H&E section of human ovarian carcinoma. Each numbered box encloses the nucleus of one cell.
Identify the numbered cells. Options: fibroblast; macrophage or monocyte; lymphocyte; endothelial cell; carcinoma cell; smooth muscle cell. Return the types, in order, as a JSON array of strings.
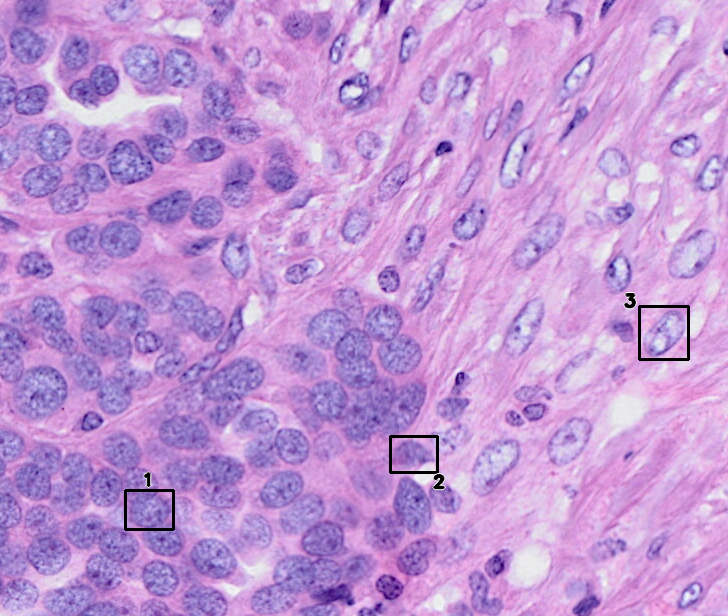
["carcinoma cell", "carcinoma cell", "fibroblast"]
